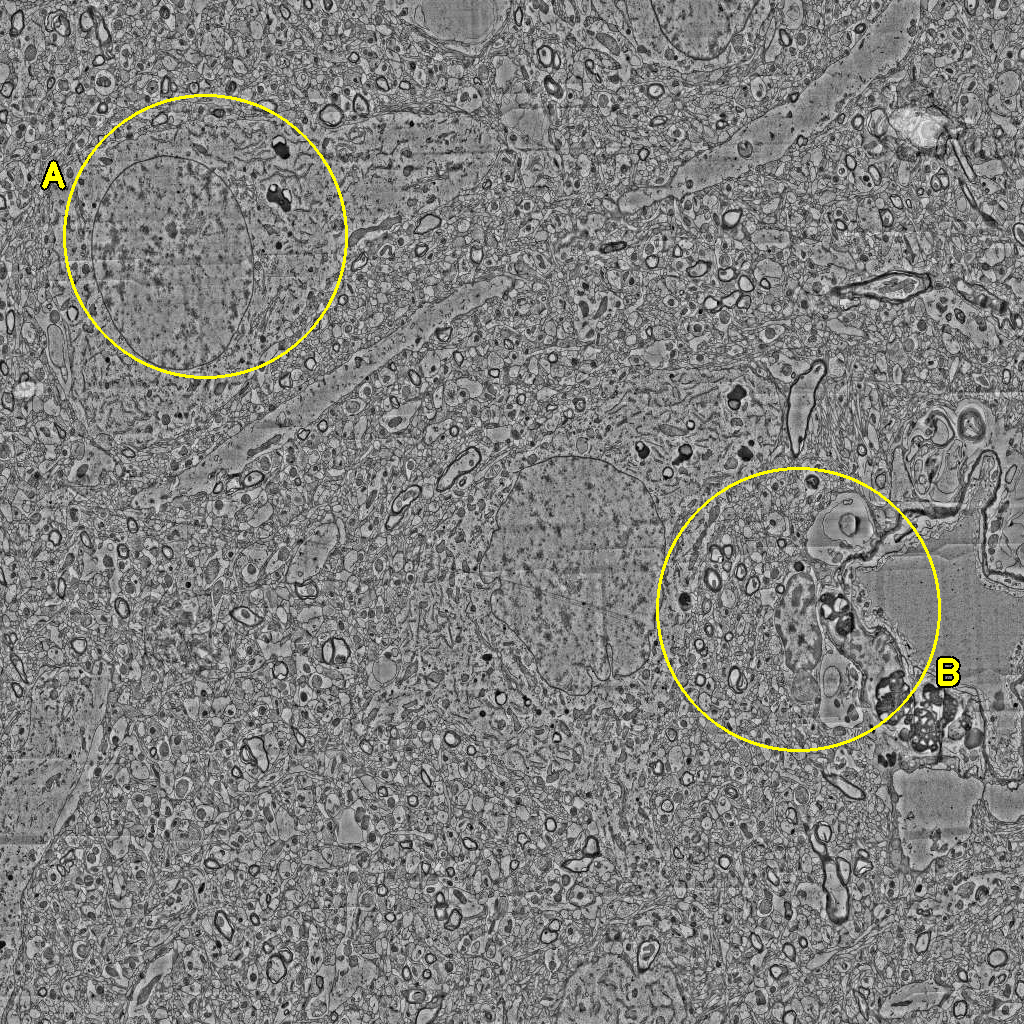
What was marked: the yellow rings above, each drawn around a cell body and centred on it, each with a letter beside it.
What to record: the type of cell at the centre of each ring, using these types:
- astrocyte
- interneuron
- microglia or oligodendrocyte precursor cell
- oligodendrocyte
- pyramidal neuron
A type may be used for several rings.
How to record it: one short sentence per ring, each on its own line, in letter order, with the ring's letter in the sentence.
Centred in ring A is a pyramidal neuron.
Centred in ring B is a microglial cell or oligodendrocyte precursor cell.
